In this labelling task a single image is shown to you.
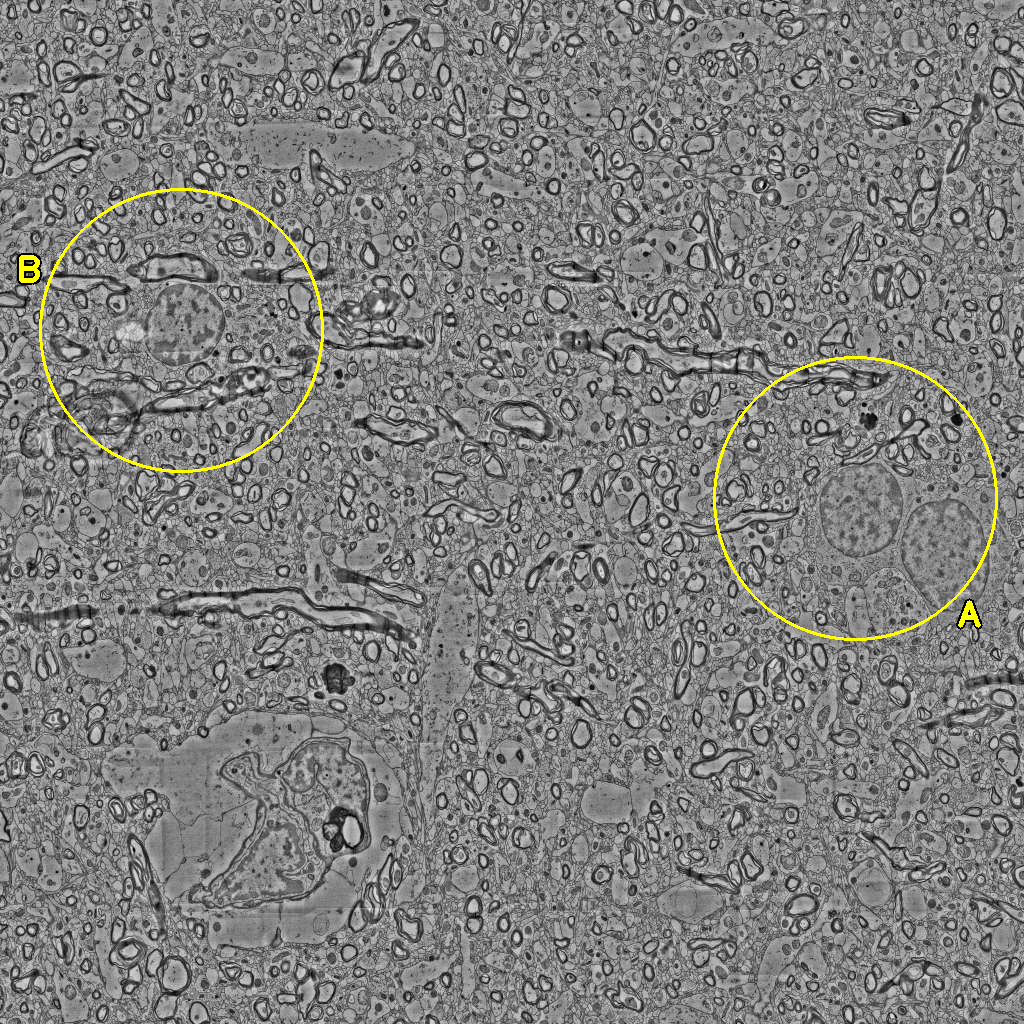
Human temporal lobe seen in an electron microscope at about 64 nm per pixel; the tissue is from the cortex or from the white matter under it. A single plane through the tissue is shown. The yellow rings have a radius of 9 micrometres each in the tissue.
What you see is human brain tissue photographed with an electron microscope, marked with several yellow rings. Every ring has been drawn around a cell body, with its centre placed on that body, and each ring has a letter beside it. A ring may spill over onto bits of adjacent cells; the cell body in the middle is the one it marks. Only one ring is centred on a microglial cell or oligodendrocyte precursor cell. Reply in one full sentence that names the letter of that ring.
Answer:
The ring centred on the cell asked for is the one marked B.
